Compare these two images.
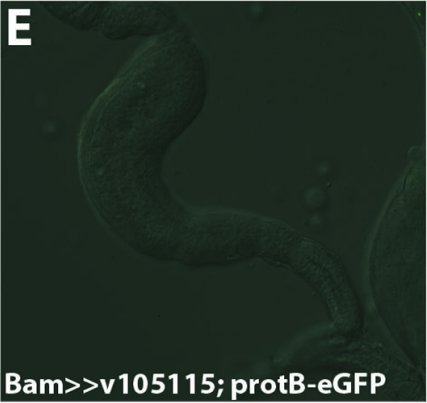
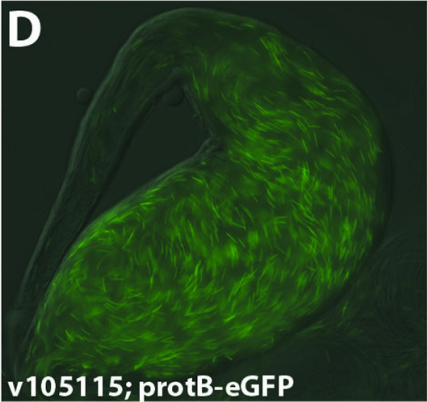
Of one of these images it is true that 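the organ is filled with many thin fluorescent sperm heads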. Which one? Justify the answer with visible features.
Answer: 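First image: the organ appears grey and empty, with no green streaks. Second image: the organ is densely packed with green streaks. The answer: the second image.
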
